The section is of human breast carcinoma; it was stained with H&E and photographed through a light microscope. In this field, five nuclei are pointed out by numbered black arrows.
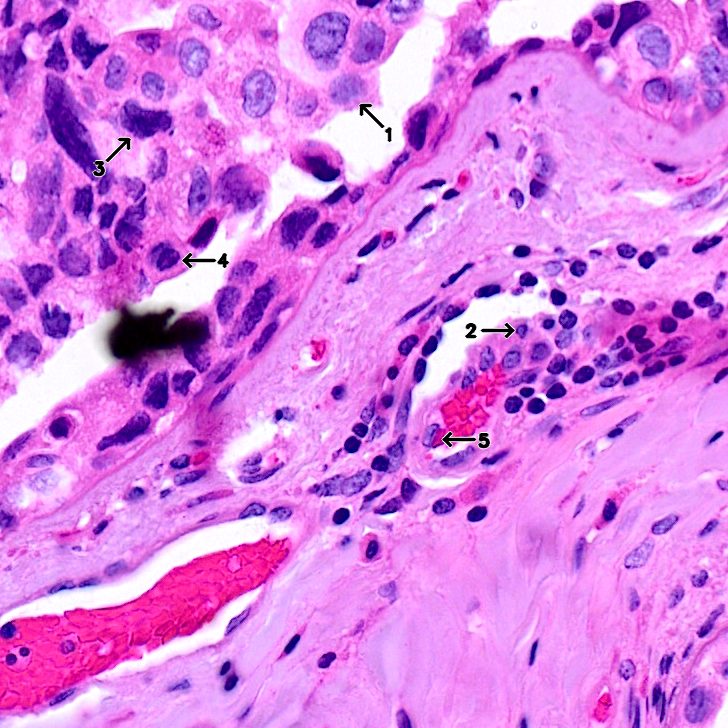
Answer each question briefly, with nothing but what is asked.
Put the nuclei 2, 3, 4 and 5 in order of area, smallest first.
2, 5, 4, 3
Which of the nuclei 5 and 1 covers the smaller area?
5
